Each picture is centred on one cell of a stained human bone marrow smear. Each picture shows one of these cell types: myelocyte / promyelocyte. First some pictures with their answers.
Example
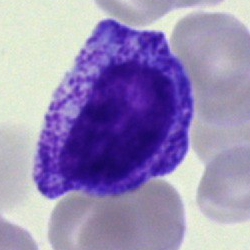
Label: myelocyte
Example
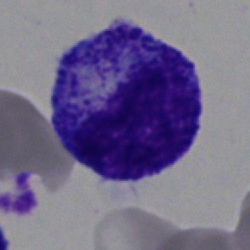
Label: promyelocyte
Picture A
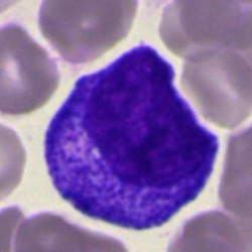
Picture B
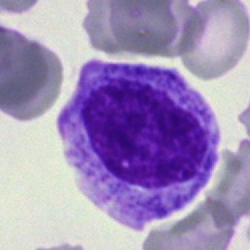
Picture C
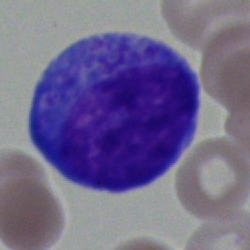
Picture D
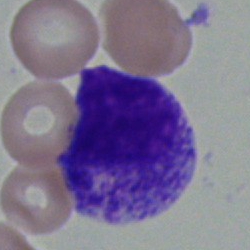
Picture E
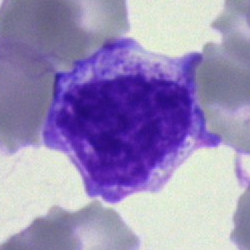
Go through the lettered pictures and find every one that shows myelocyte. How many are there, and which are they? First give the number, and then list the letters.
3: B, D, E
